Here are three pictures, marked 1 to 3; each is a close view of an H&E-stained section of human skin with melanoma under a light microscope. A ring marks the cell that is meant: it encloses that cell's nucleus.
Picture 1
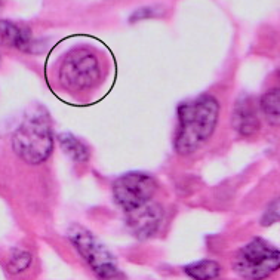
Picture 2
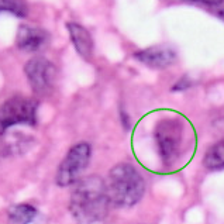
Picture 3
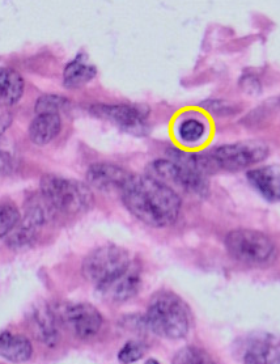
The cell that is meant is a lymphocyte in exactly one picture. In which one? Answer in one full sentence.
The picture with the lymphocyte is 3.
